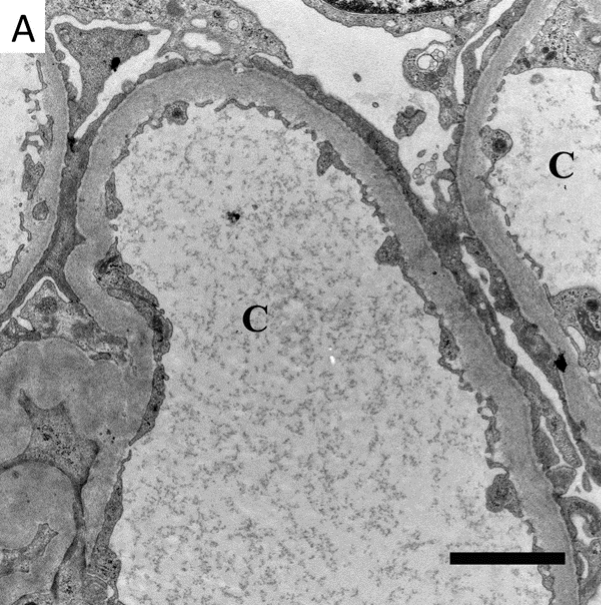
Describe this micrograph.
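A glomerular capillary loop with a wide, finely granular lumen is bounded by a thick basement membrane. On the outer side of the membrane, the overlying podocyte cytoplasm runs as a continuous flattened sheet over long stretches instead of forming separate foot processes.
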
